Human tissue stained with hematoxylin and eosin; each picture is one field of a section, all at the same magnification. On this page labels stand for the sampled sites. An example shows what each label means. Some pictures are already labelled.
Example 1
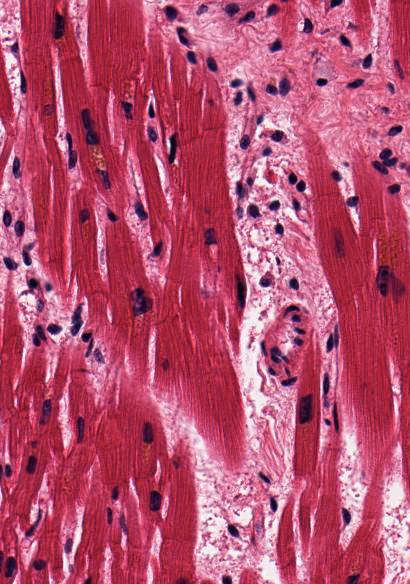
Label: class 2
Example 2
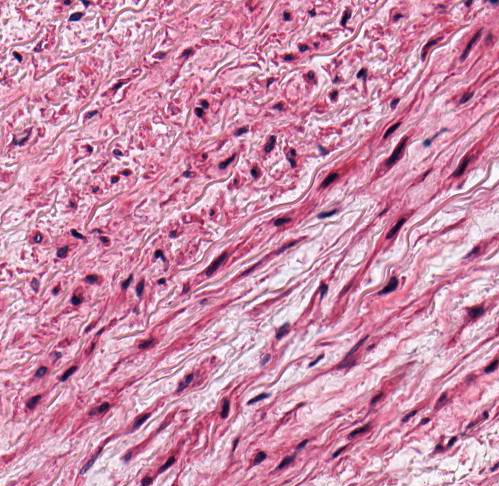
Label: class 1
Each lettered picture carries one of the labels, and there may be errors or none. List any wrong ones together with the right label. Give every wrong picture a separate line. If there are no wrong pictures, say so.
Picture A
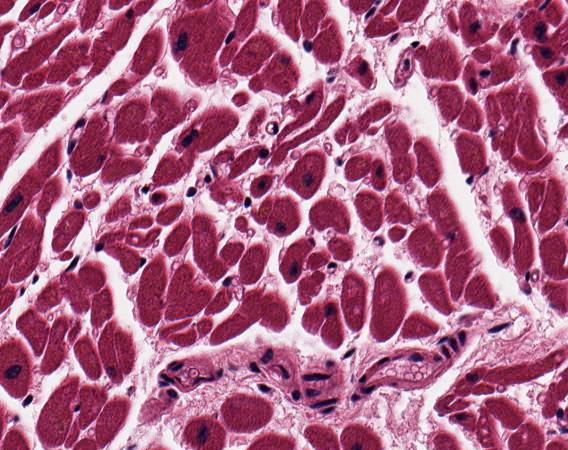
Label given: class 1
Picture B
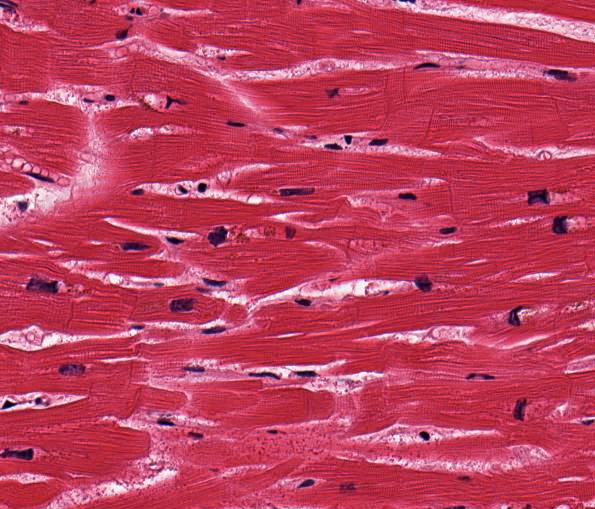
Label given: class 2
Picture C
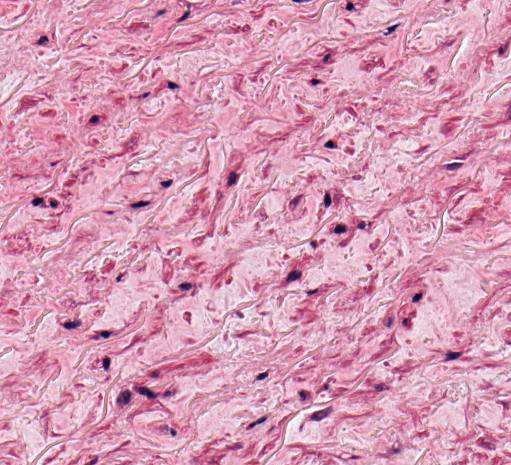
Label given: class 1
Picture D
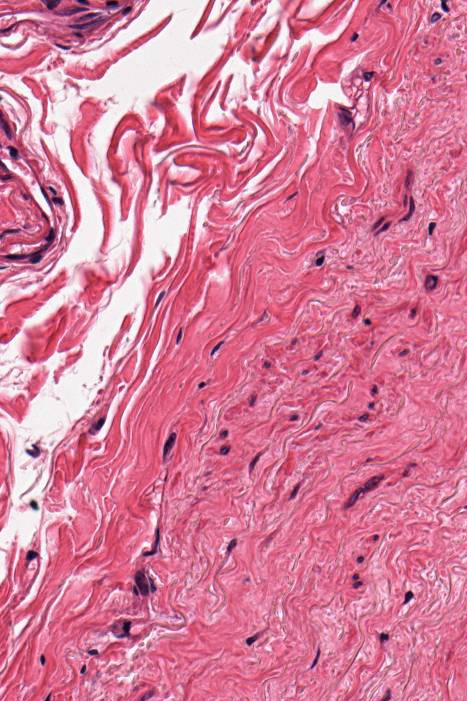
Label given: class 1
A: class 2, not class 1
